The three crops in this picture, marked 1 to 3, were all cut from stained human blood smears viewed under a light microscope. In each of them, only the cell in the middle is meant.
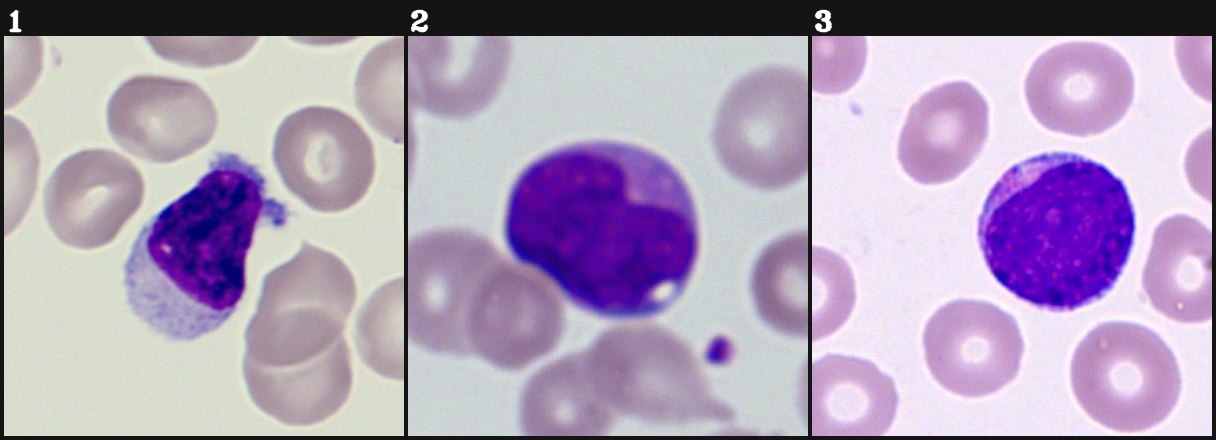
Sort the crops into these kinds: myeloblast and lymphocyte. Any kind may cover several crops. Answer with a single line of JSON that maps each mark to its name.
{"1": "lymphocyte", "2": "myeloblast", "3": "myeloblast"}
